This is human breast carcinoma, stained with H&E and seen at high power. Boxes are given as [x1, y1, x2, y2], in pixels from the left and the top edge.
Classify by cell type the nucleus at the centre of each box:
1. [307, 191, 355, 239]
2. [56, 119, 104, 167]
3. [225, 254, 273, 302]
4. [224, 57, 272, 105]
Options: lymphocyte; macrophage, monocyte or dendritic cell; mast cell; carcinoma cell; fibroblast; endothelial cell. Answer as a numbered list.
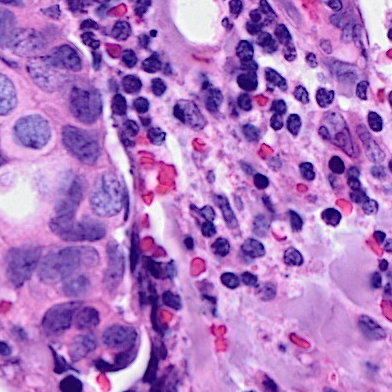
1. lymphocyte
2. carcinoma cell
3. lymphocyte
4. lymphocyte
